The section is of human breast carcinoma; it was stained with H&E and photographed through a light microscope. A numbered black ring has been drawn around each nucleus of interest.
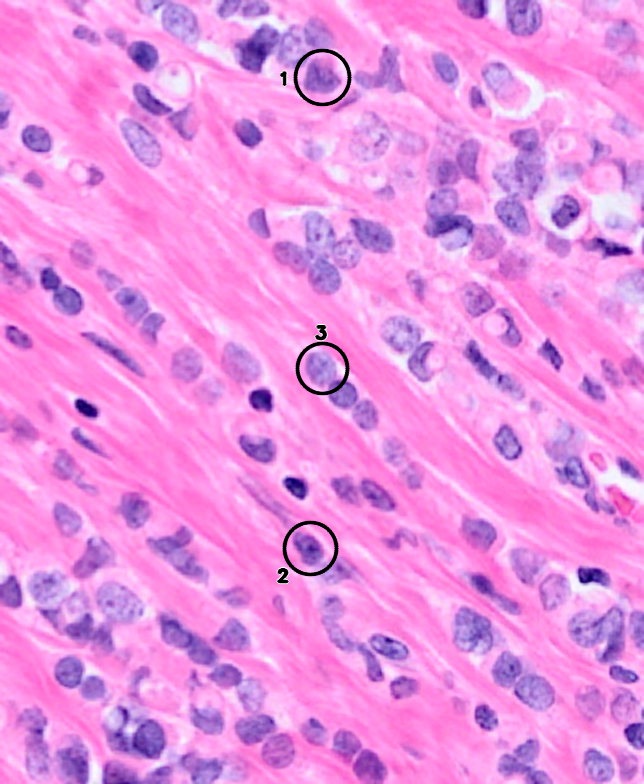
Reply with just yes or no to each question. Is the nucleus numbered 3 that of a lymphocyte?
no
